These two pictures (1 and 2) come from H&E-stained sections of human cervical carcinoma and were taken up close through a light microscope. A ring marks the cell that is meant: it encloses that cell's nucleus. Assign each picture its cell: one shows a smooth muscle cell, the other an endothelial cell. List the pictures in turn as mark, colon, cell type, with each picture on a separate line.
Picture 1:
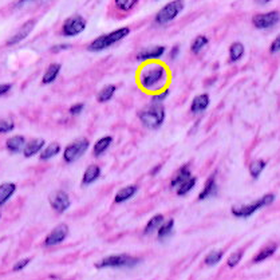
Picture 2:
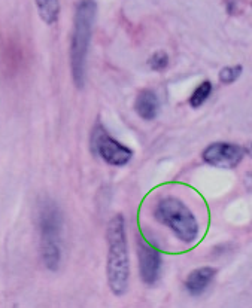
1: smooth muscle cell
2: endothelial cell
